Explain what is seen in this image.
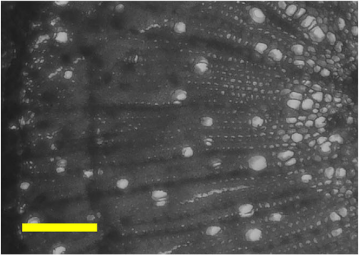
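Transverse section of woody tissue showing xylem vessels among radial files of small cells. The vessels appear as bright, rounded open lumens, mostly solitary or in short radial rows, and of varying width. Small cell lumens form regular files that converge toward the right of the field. Near the right edge the cells in the files are larger and more polygonal, with thinner walls. A darker vertical band crosses the left part of the field.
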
